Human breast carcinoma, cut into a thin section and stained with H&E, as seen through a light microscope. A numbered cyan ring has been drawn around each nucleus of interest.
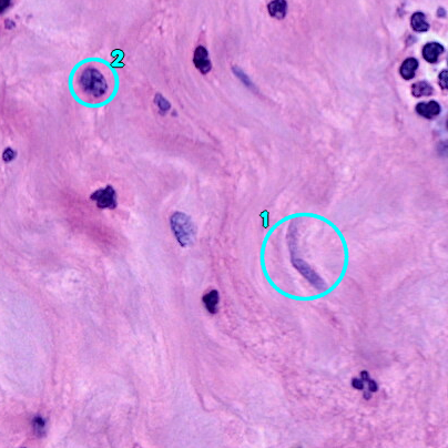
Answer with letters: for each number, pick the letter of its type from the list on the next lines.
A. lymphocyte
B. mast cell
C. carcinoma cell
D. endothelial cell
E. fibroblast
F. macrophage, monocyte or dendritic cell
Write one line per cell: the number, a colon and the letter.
1: E
2: B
